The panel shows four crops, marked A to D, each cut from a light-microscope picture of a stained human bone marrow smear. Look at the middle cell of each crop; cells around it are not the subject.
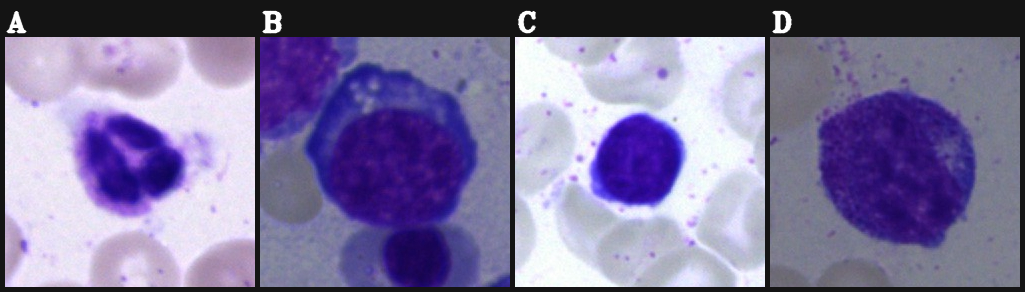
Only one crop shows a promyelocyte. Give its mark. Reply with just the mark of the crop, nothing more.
D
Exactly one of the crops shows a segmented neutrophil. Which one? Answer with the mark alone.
A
